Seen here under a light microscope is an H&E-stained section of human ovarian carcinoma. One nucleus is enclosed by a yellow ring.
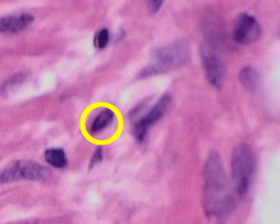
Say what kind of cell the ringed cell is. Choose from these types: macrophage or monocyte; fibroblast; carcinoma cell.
fibroblast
